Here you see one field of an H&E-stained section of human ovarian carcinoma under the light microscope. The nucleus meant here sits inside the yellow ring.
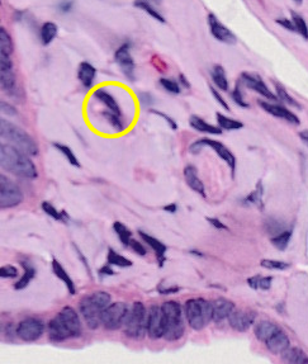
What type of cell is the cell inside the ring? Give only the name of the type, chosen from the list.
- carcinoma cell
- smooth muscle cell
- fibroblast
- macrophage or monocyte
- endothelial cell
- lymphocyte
endothelial cell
